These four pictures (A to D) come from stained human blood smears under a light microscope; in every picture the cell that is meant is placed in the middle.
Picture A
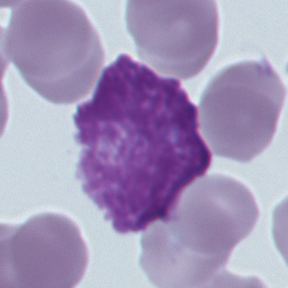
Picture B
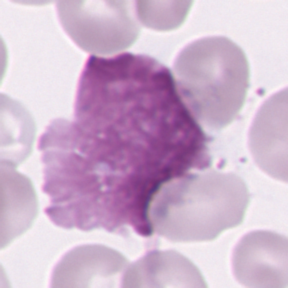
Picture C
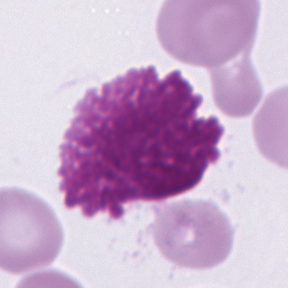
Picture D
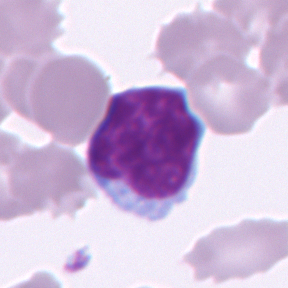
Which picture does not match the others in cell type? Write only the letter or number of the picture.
D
